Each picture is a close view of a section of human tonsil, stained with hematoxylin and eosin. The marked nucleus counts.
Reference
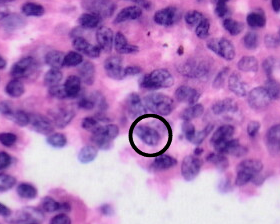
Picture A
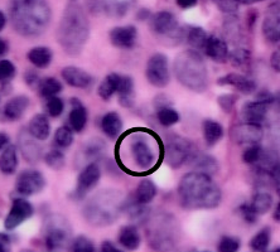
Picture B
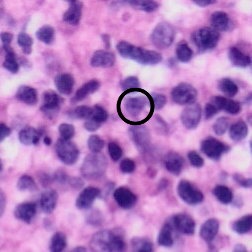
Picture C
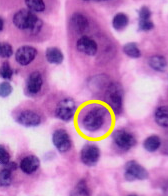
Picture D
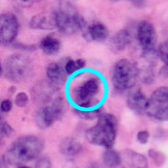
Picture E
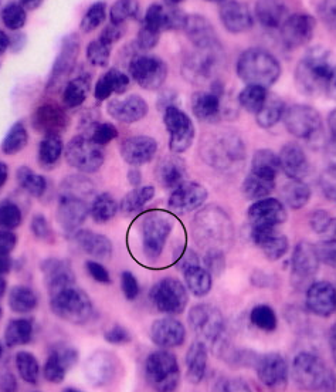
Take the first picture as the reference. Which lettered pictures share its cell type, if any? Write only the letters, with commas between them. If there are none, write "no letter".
A, B, D, E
